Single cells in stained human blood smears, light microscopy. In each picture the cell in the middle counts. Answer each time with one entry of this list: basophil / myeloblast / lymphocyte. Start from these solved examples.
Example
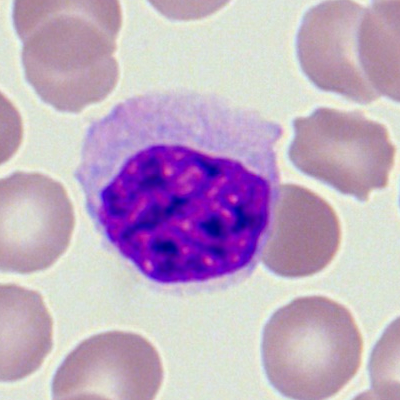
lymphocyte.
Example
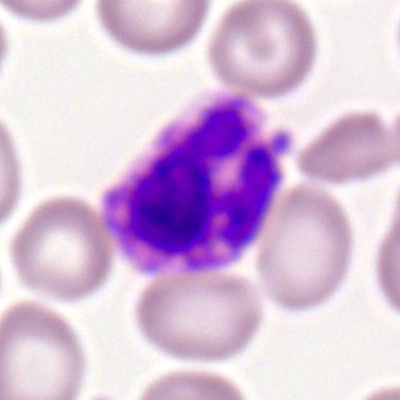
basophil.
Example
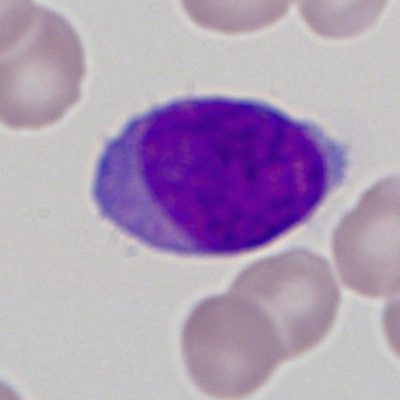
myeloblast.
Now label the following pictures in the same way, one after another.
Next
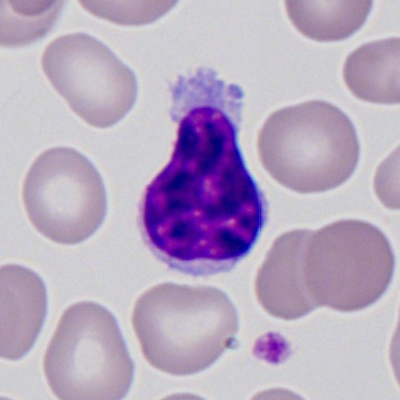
lymphocyte.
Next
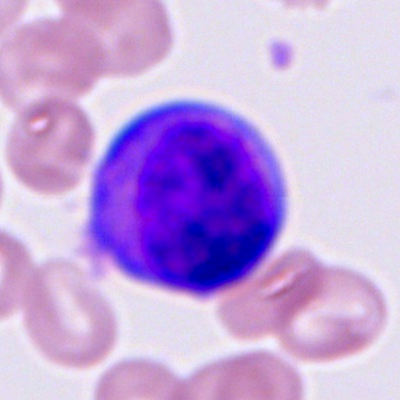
myeloblast.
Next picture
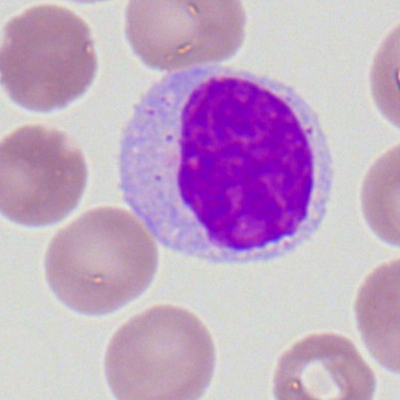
lymphocyte.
